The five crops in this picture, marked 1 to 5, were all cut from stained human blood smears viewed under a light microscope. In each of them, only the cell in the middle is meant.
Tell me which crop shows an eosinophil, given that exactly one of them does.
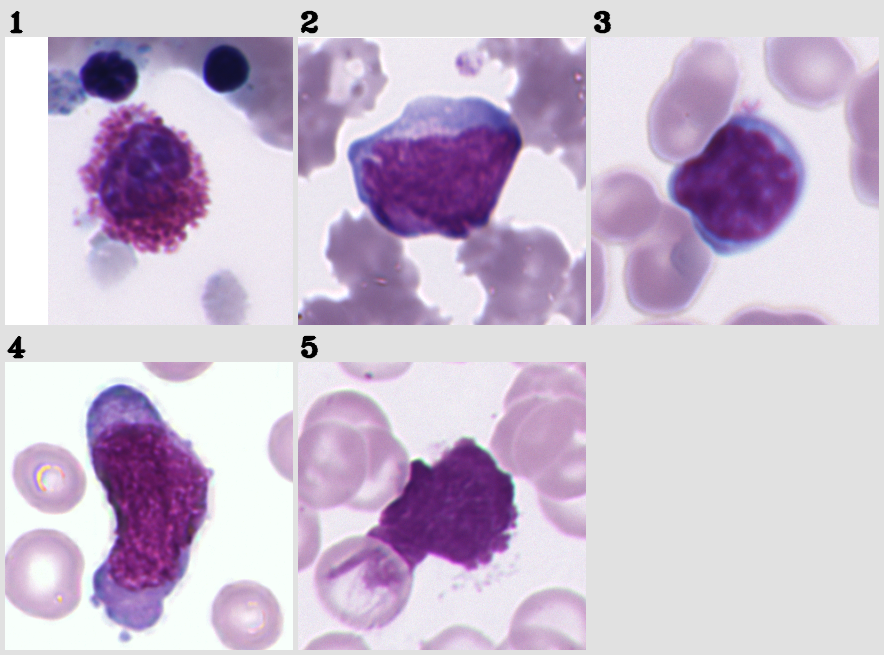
1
